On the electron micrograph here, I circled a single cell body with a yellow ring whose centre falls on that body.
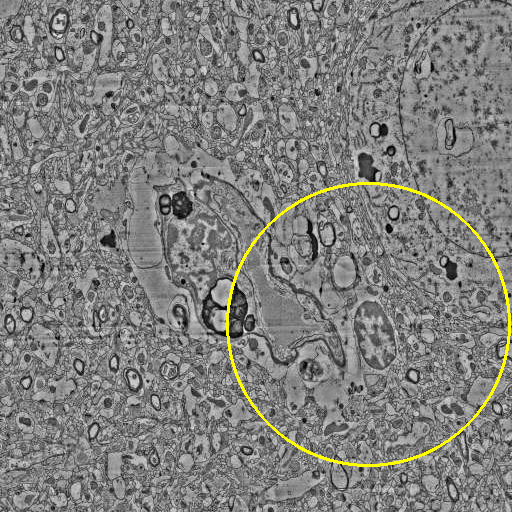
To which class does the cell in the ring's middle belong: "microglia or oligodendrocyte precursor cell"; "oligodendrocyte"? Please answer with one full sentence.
In this picture, the cell body circled at the ring's centre belongs to a microglial cell or oligodendrocyte precursor cell.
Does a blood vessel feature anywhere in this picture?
Yes, one appears.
